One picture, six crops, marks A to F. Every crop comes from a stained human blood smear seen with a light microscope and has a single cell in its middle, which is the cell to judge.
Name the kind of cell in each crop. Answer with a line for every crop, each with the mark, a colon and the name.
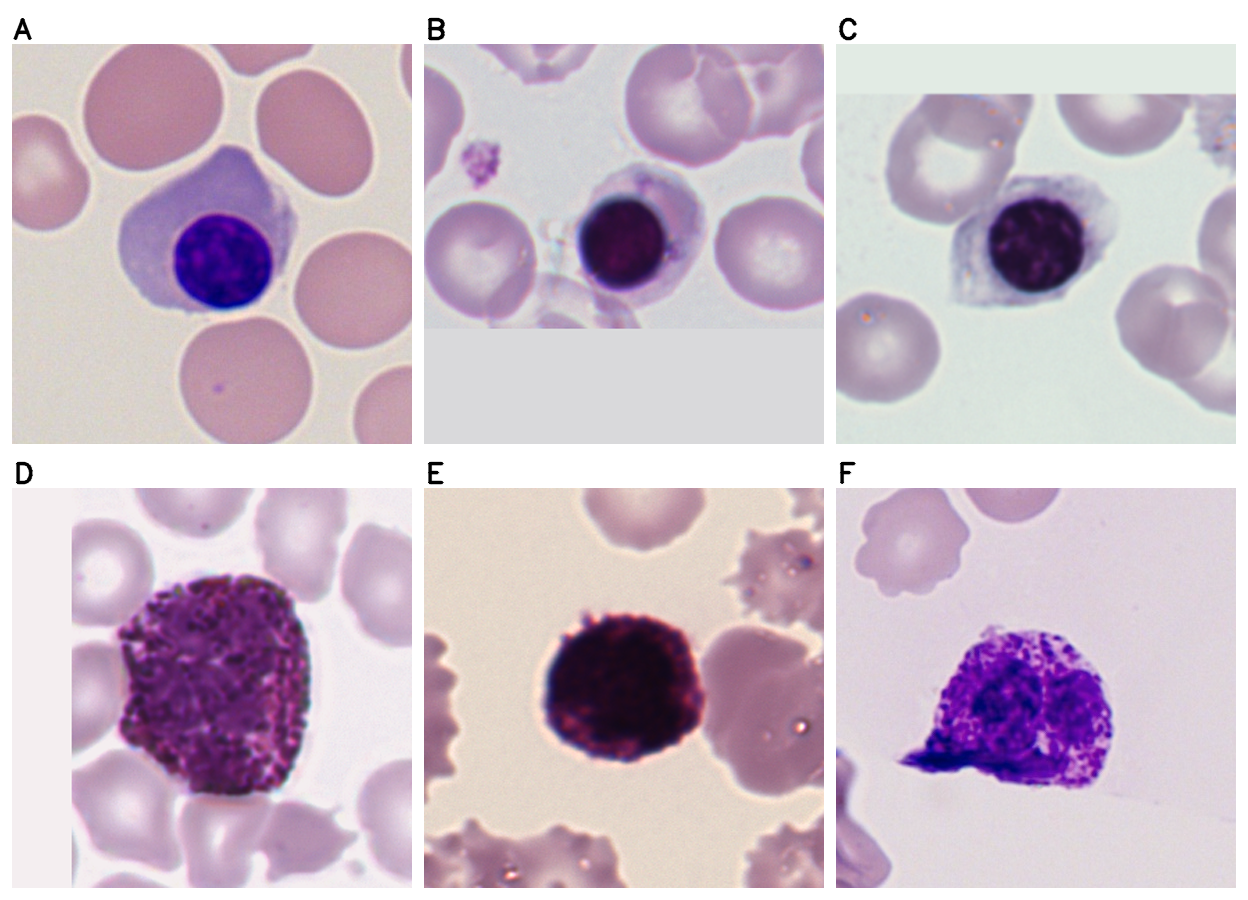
A: erythroblast
B: erythroblast
C: erythroblast
D: basophil
E: basophil
F: basophil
